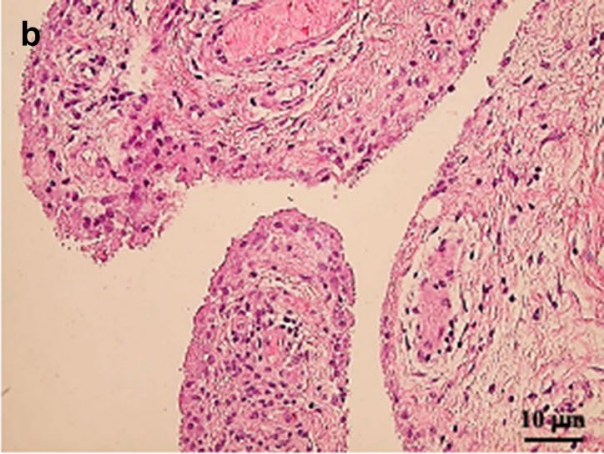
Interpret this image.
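Several rounded villous fronds of synovial membrane are seen, separated by clear space. Their surfaces are covered by lining cells stacked in more than one layer, with round to oval purple nuclei and pink cytoplasm. Beneath the lining lies a loose pink fibrous stroma with spindle-shaped cells and small vessels surrounded by concentric cells. The cellularity of the lining and the crowding of nuclei fit a hyperplastic synovium.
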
